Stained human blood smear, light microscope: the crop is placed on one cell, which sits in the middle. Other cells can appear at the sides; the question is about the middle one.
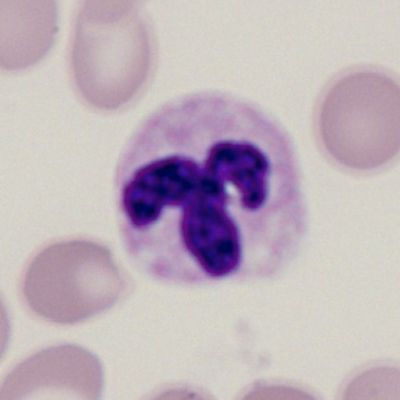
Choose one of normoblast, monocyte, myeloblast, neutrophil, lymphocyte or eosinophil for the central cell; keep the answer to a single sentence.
Among the cells in view, the one in the middle is a neutrophil.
